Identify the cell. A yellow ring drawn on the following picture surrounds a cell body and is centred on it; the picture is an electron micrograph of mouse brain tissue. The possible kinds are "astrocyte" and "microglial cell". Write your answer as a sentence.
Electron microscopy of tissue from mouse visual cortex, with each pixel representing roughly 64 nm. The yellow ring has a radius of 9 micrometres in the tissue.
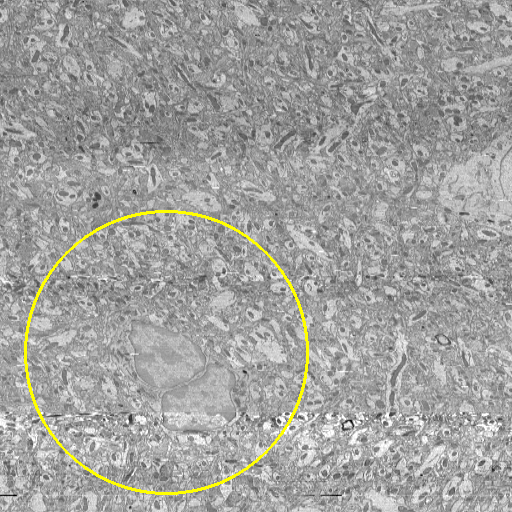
The cell identified by the ring is a microglial cell.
